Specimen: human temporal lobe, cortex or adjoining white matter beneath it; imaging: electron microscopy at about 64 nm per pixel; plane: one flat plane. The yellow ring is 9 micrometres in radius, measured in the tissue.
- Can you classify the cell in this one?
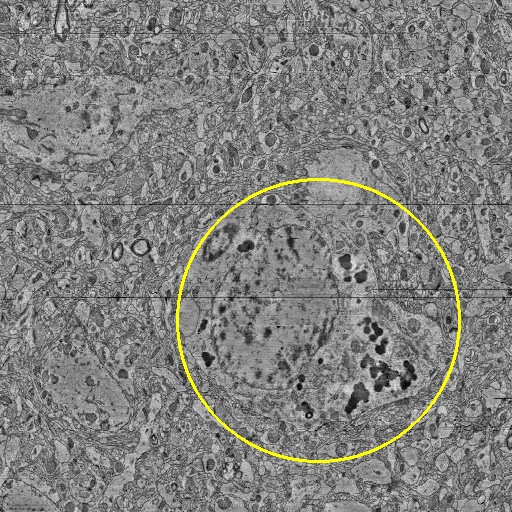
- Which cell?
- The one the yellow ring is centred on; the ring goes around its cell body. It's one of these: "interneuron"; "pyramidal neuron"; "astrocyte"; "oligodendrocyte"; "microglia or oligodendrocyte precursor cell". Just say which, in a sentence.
The cell body in the ring belongs to an interneuron.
